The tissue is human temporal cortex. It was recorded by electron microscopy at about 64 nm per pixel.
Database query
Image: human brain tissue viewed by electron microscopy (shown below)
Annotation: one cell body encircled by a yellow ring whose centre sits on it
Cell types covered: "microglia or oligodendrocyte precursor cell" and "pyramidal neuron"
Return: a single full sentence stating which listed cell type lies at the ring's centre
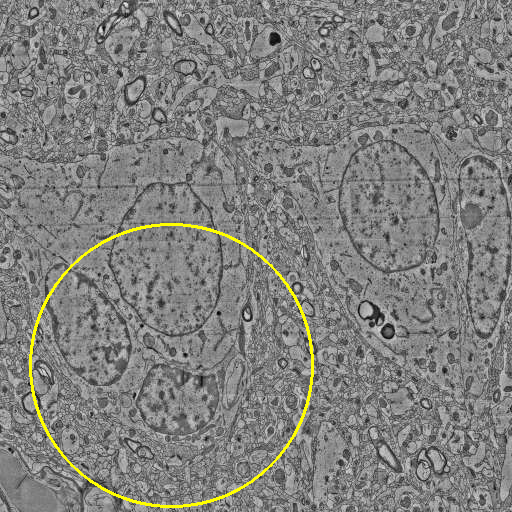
In the image, the cell lying at the ring's centre is a microglial cell or oligodendrocyte precursor cell.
